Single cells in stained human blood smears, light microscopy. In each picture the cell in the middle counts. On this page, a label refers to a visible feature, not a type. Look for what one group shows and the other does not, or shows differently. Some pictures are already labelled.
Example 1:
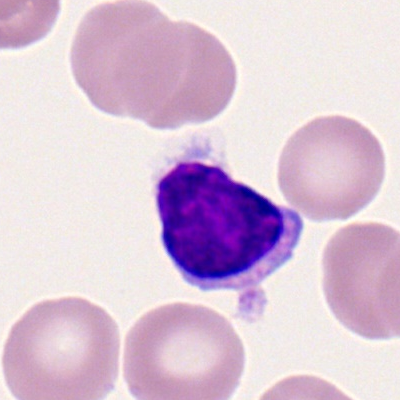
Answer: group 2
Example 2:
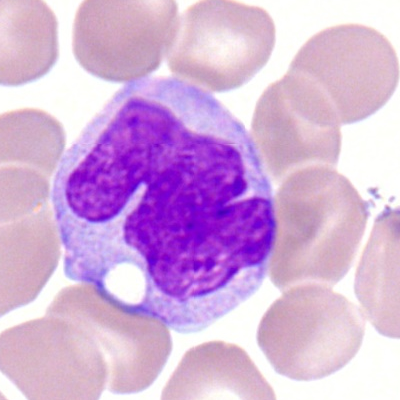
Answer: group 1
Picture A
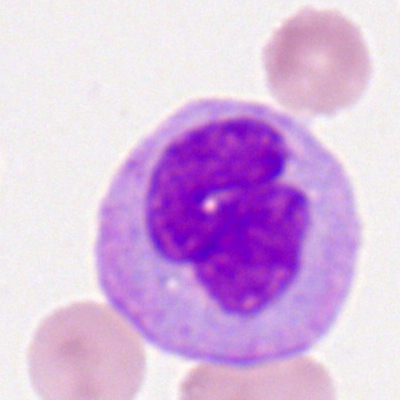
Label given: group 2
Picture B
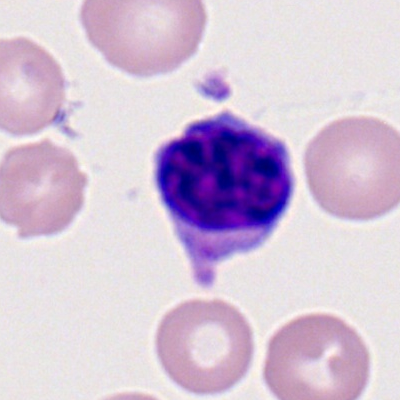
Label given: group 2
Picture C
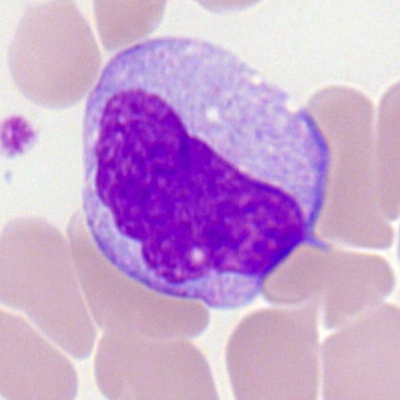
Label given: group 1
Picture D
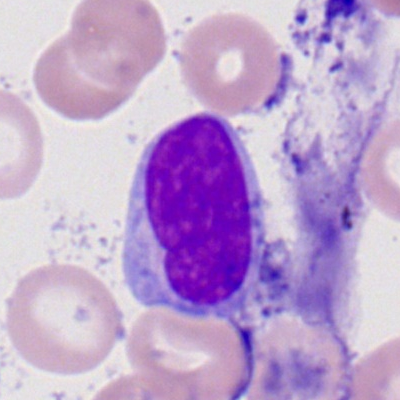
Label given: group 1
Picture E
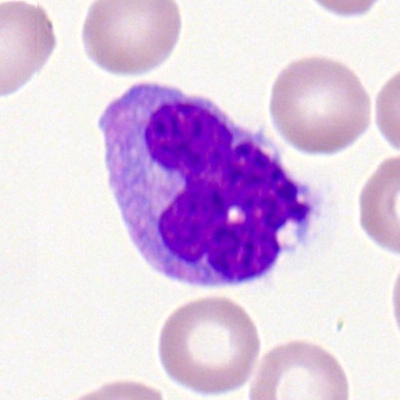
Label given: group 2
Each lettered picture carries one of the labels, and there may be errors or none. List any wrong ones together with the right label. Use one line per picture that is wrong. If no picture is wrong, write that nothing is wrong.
A: group 1, not group 2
